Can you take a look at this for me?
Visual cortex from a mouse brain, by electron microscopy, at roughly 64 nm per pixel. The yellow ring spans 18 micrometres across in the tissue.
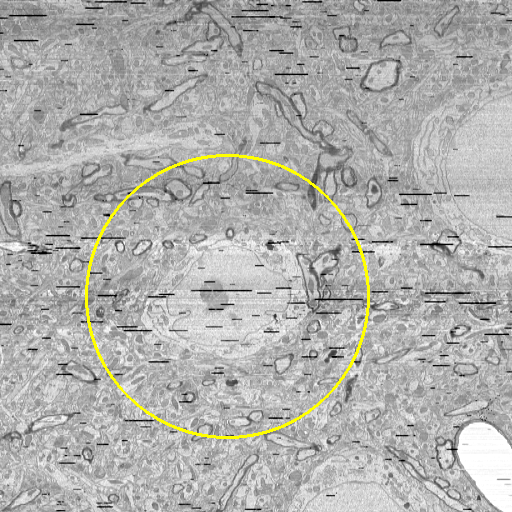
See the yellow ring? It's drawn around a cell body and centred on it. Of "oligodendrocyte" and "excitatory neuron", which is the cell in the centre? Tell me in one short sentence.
The one in the centre is an excitatory neuron.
